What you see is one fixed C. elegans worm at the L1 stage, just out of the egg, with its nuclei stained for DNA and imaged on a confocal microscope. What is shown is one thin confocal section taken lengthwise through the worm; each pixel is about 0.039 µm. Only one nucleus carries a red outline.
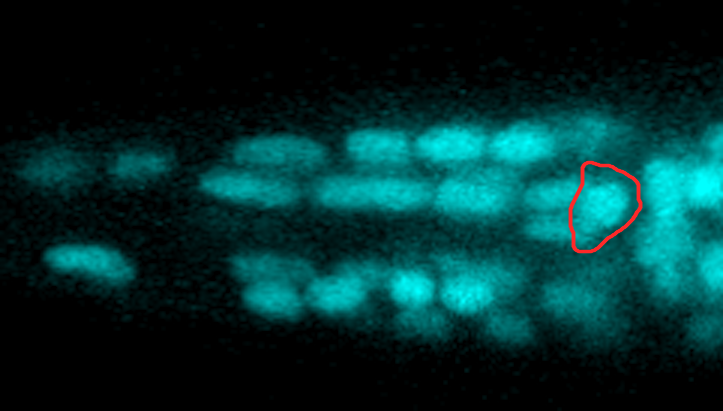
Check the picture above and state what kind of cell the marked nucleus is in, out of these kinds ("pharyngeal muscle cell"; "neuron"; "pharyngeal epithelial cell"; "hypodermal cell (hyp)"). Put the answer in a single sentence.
This is the nucleus of a neuron.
